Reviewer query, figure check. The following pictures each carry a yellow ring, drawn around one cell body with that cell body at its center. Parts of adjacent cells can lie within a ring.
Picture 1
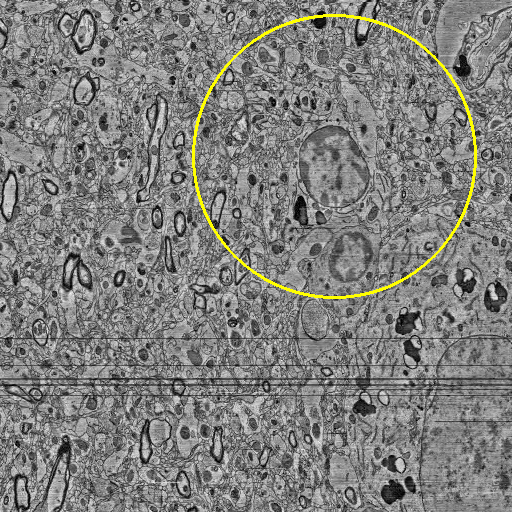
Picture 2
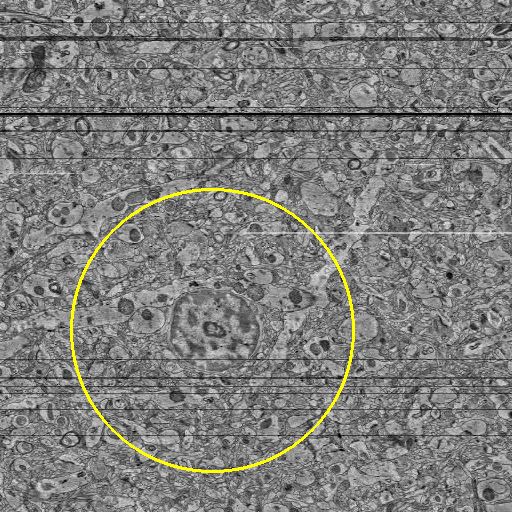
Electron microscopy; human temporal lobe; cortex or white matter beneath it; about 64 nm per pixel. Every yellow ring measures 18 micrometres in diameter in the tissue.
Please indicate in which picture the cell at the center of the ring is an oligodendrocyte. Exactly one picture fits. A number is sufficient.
2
